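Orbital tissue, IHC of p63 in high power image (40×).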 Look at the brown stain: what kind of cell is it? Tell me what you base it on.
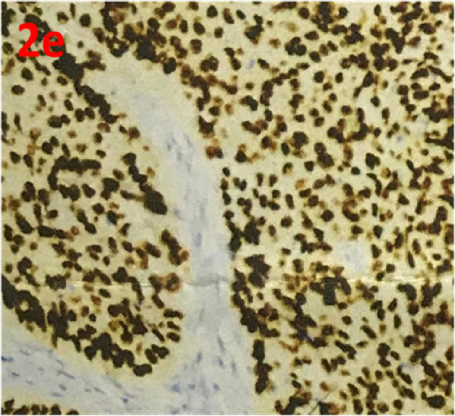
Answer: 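Dense brown nuclei fill sheets of cells. A band of pale stroma with thin blue nuclei is unstained. So: tumor cells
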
